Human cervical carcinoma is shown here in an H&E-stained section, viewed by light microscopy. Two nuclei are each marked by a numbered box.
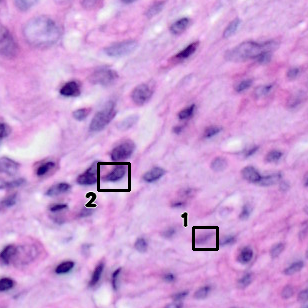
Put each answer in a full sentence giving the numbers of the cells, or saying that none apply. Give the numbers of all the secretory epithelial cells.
The numbered cells are, without exception, not secretory epithelial cells.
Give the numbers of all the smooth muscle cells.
Only at number 1 is there a smooth muscle cell among the marked cells.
